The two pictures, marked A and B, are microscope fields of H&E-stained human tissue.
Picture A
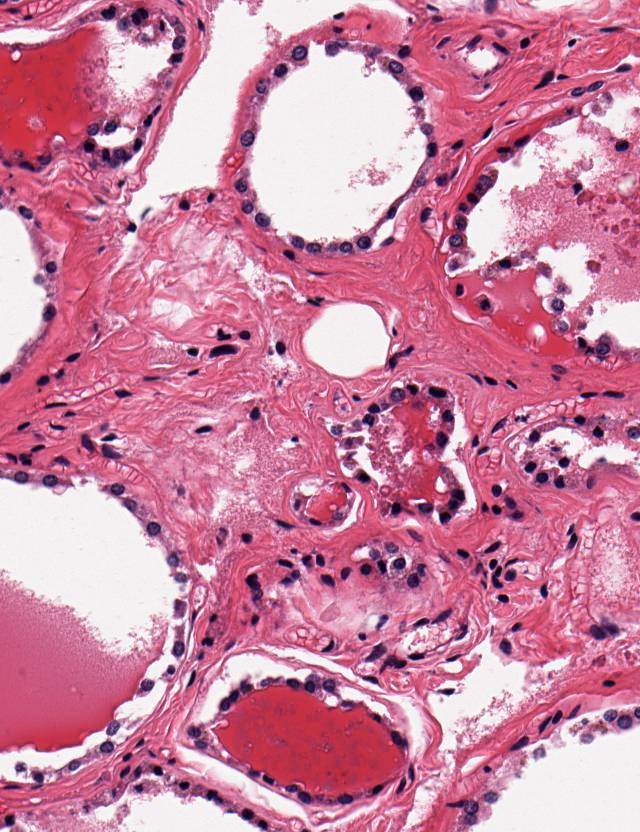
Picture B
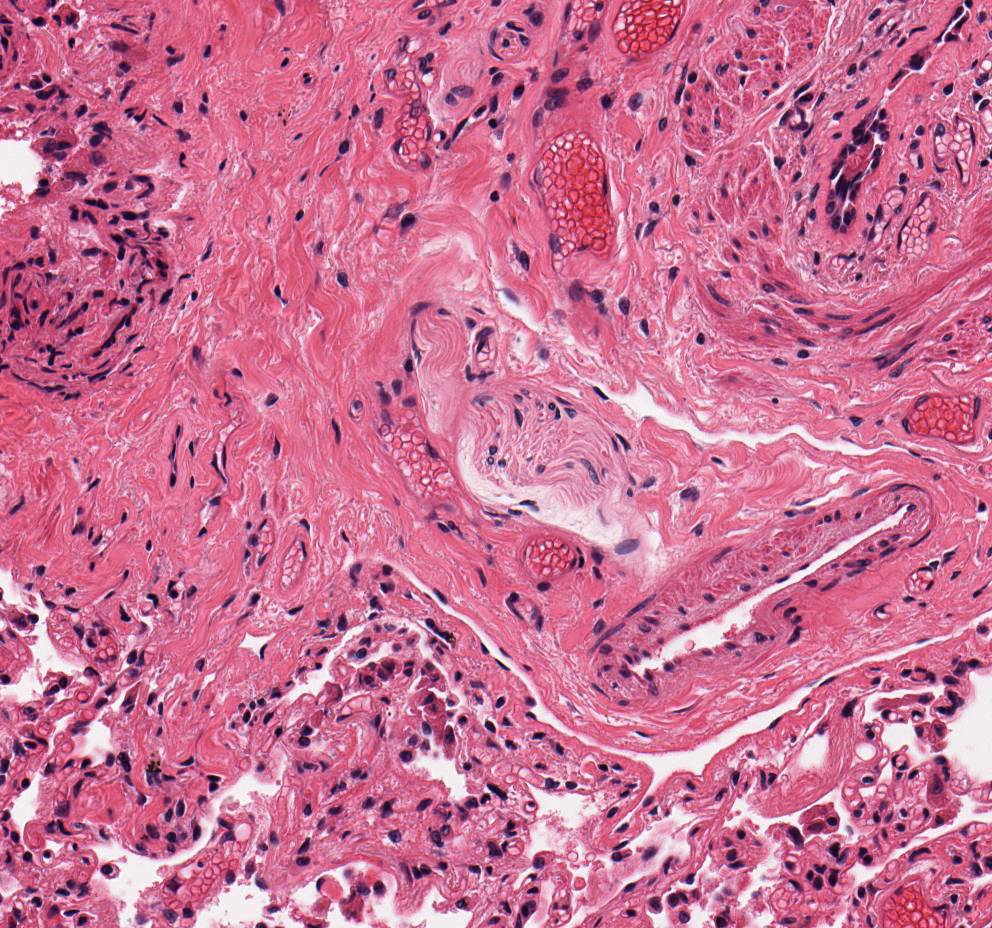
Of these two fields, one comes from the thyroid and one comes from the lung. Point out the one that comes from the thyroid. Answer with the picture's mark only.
A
